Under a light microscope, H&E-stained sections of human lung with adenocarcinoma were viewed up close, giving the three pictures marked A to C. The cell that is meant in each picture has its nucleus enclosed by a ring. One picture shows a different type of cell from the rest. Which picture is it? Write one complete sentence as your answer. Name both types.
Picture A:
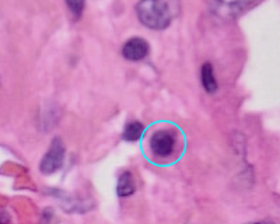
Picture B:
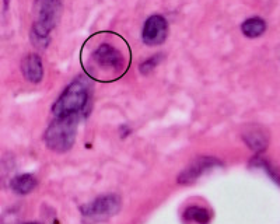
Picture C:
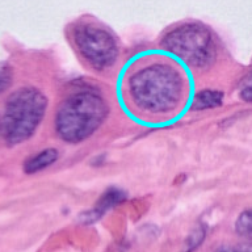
The different one is picture C; it shows a carcinoma cell, whereas all the others show plasma cells.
